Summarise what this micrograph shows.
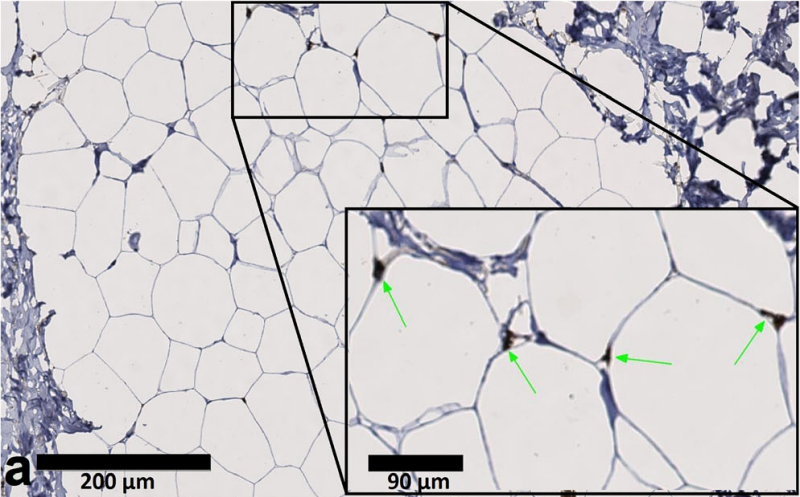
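This is adipose tissue made of large, empty-looking polygonal adipocytes whose thin walls meet in a honeycomb pattern. Denser blue-stained connective tissue strands run along the edges of the field, and the enlarged inset shows four brown cells tucked into such junctions.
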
